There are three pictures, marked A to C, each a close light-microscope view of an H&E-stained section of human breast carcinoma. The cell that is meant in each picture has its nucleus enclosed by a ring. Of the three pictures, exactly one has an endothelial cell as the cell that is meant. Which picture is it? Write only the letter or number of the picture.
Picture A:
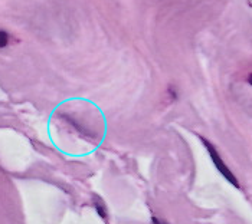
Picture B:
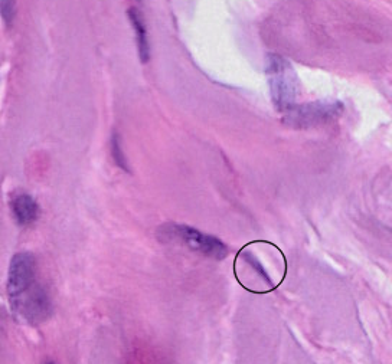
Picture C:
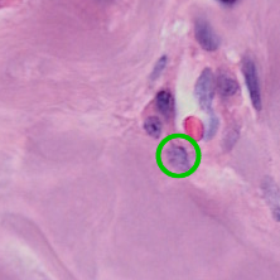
C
